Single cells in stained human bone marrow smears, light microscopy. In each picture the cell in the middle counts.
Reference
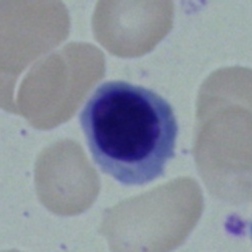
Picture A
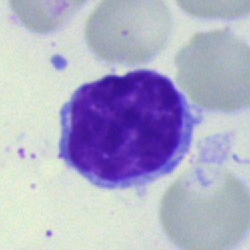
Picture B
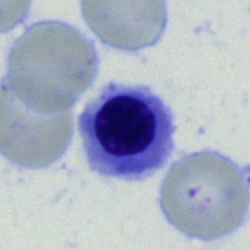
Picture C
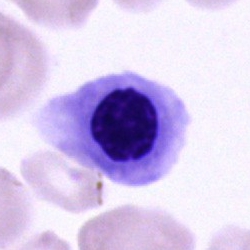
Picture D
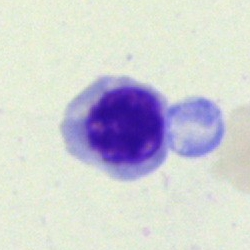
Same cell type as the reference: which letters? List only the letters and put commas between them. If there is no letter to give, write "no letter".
B, C, D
